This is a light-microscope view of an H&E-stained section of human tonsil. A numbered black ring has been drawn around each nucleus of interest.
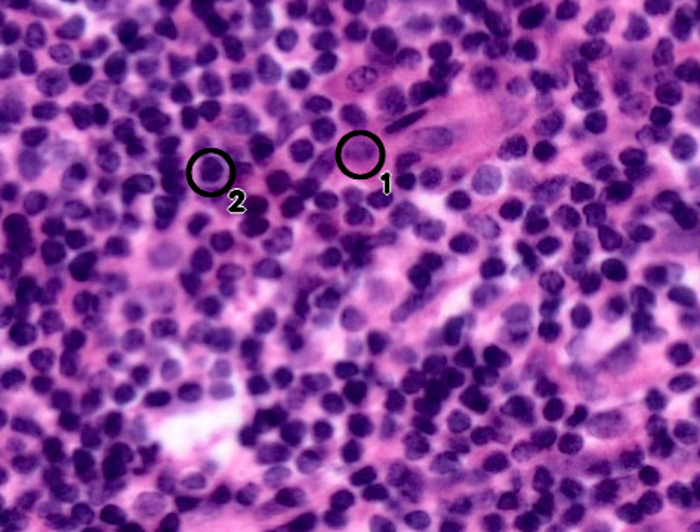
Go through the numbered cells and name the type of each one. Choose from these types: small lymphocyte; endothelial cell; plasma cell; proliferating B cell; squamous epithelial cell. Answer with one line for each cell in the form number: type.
1: endothelial cell
2: small lymphocyte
